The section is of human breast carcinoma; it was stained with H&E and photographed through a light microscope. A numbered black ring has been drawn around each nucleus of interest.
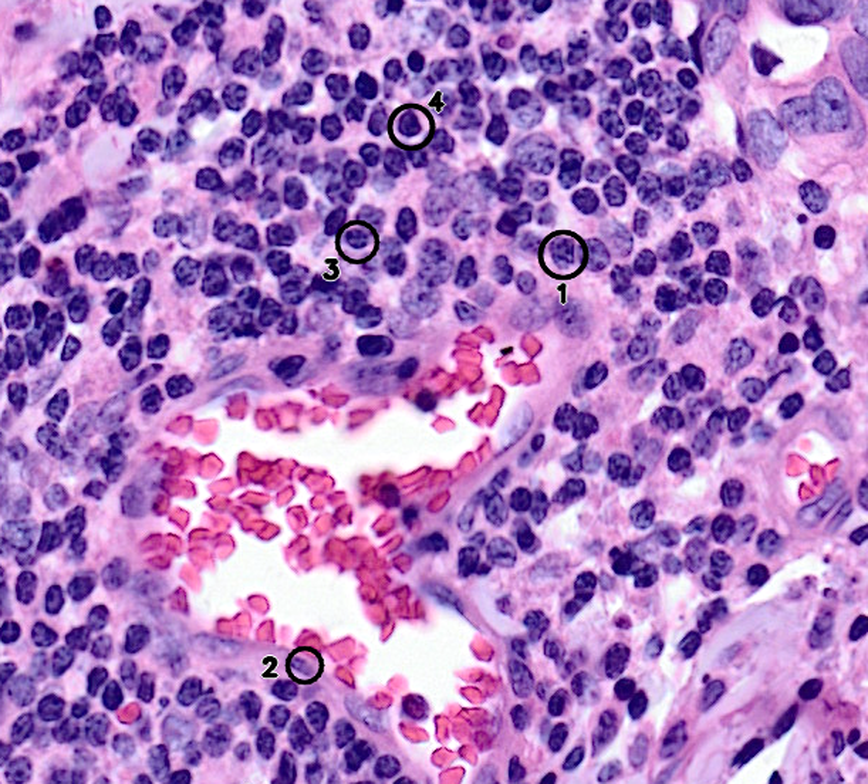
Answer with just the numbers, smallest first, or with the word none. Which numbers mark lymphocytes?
1, 3, 4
